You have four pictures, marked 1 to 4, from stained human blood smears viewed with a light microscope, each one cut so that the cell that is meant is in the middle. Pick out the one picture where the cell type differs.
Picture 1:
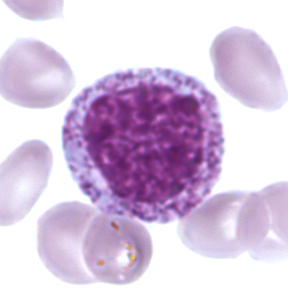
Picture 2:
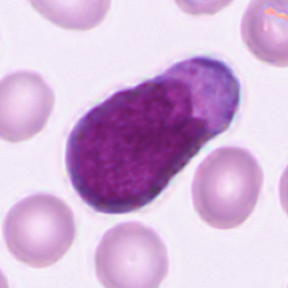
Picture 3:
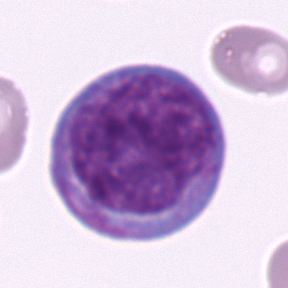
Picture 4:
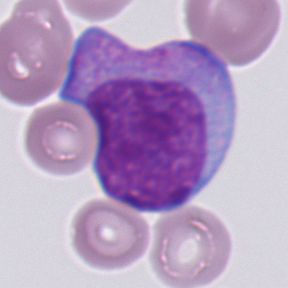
1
